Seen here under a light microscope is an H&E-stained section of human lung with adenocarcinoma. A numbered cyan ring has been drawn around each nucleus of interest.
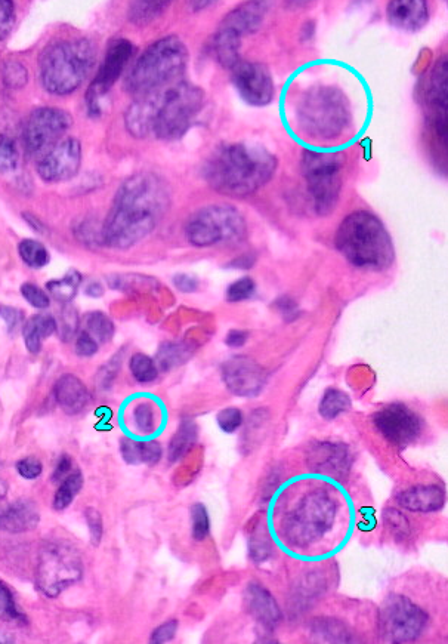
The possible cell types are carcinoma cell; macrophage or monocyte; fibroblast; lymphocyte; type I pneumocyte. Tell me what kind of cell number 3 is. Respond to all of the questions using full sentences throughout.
The numeral 3 marks a carcinoma cell in this section.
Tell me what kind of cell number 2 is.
Identified by the number 2, the cell is a lymphocyte.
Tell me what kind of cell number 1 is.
Identified as a carcinoma cell is the cell bearing the number 1.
